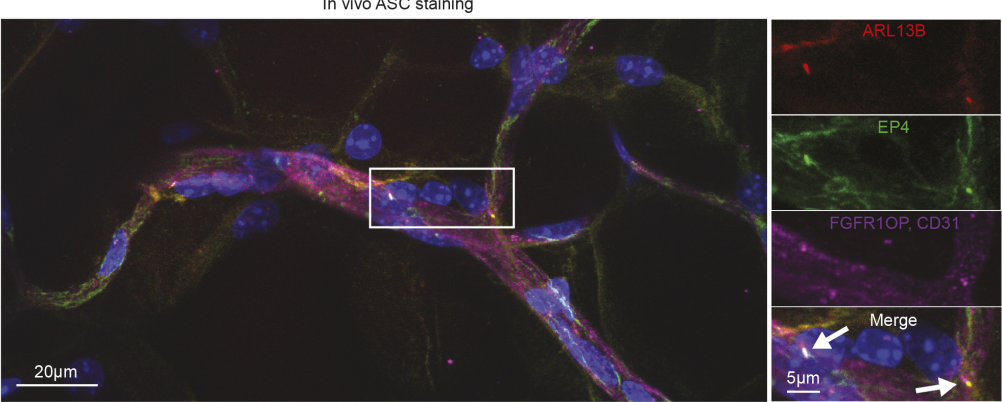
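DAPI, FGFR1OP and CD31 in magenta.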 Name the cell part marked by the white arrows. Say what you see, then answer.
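The arrows in the enlarged merged view point to short, straight, rod-like bright structures. Each rod lies next to a blue nucleus. The rods are only a few micrometres long against the 5 µm scale bar.
Conclusion: primary cilia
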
